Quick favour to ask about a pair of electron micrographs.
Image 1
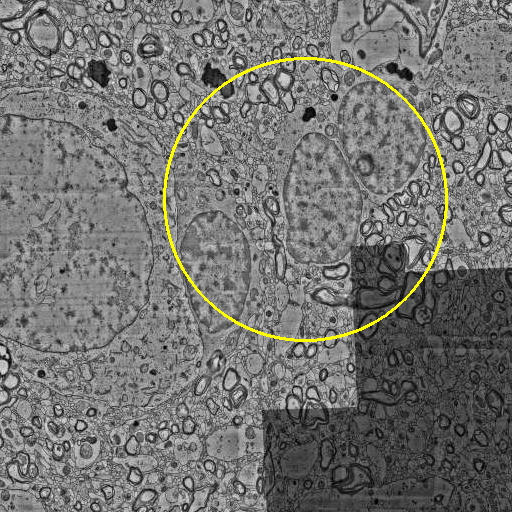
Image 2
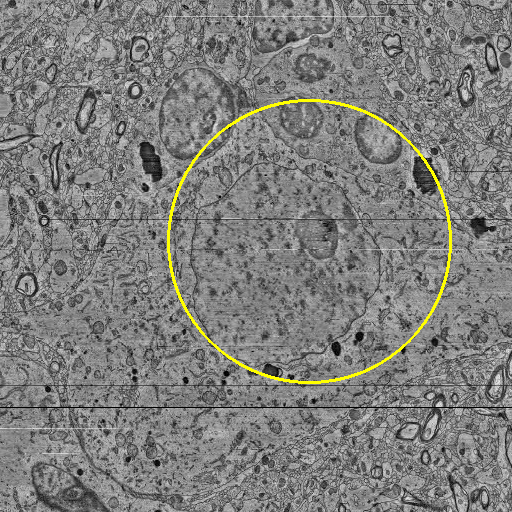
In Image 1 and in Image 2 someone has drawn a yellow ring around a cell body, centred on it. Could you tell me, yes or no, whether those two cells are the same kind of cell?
no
